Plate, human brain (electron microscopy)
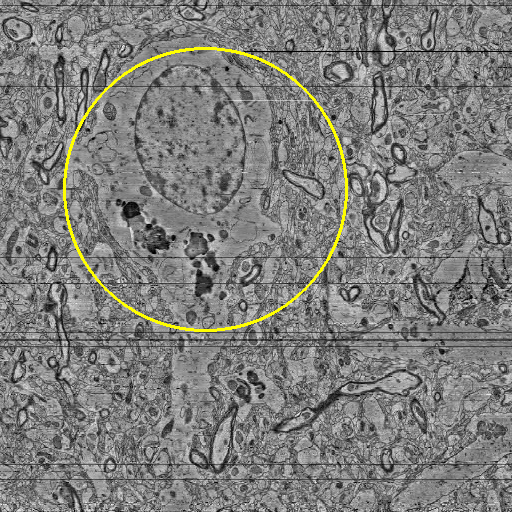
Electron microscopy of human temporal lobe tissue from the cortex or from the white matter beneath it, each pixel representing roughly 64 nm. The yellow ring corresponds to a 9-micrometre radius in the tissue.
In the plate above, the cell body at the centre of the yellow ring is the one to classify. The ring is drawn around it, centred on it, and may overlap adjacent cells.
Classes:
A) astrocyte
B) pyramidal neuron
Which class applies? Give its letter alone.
A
